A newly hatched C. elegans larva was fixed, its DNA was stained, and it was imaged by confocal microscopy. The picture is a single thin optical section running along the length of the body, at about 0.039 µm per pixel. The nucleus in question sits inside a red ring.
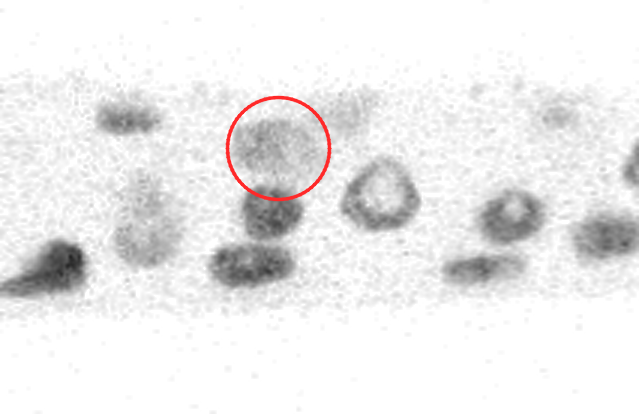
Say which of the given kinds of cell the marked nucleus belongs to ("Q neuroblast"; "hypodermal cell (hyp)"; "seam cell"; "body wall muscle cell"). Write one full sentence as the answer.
The marked nucleus belongs to a hypodermal cell (hyp).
